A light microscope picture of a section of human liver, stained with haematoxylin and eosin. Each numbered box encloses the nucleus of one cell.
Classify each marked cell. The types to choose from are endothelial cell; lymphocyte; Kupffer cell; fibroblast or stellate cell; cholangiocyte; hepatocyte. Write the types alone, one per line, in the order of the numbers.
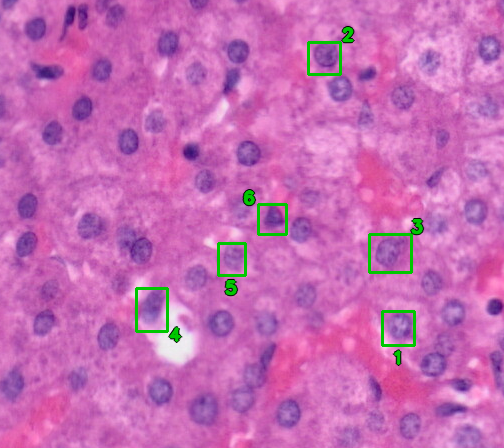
hepatocyte
hepatocyte
hepatocyte
Kupffer cell
hepatocyte
fibroblast or stellate cell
